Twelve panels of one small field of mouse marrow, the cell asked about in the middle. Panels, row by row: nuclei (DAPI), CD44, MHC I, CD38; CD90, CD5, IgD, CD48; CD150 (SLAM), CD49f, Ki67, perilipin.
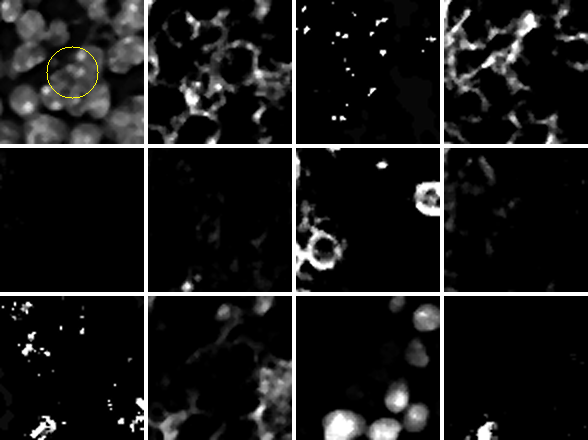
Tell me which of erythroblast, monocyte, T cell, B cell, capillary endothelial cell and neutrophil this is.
The picture shows a capillary endothelial cell.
